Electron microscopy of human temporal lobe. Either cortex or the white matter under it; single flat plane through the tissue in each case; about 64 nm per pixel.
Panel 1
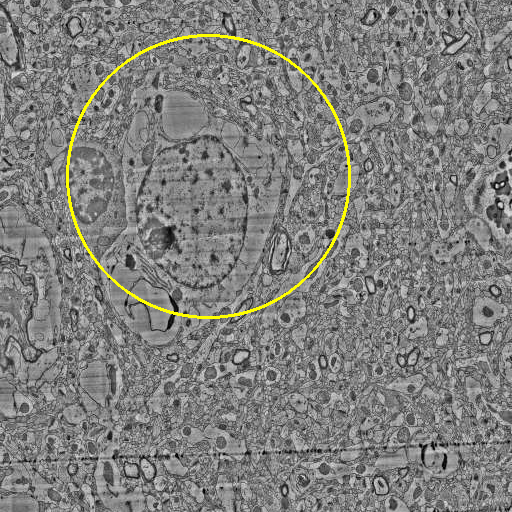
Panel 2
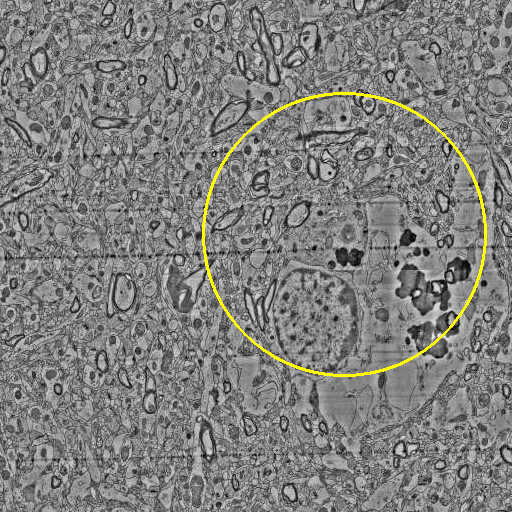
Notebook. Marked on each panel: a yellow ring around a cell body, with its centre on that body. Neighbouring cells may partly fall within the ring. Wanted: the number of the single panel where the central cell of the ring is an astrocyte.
1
